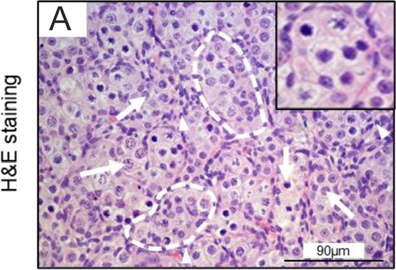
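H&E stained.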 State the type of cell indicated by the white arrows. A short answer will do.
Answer: Germ cells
